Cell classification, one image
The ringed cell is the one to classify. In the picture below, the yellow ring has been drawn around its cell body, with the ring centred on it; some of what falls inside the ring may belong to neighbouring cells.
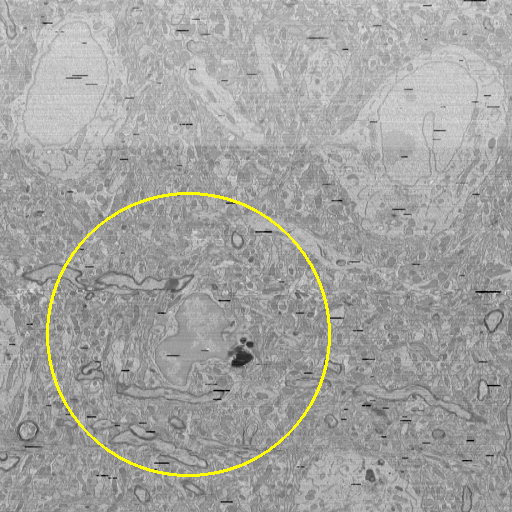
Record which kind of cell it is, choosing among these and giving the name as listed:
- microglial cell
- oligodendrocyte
microglial cell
